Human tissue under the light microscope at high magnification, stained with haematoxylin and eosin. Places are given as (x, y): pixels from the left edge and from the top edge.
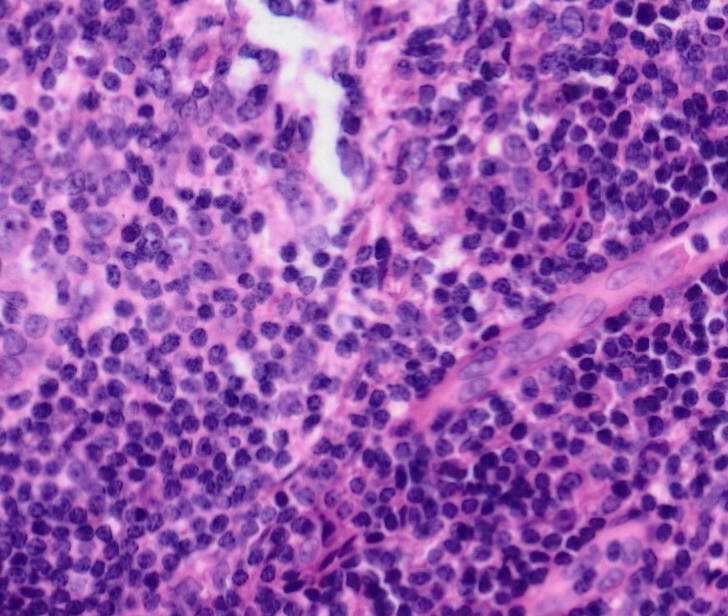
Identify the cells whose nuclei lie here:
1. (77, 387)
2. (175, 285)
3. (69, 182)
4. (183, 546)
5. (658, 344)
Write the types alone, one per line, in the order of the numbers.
small lymphocyte
proliferating B cell
proliferating B cell
small lymphocyte
small lymphocyte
